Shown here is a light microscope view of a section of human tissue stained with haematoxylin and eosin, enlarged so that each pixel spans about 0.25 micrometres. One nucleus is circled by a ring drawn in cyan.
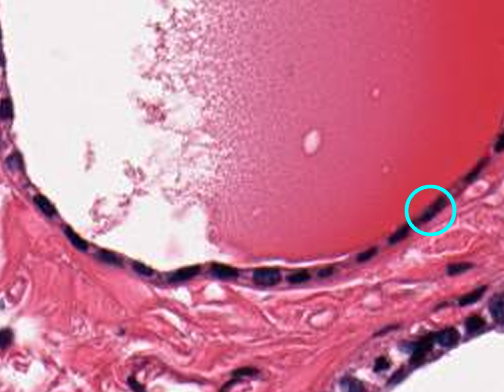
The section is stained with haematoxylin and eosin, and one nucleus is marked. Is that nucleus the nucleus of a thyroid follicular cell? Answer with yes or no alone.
yes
